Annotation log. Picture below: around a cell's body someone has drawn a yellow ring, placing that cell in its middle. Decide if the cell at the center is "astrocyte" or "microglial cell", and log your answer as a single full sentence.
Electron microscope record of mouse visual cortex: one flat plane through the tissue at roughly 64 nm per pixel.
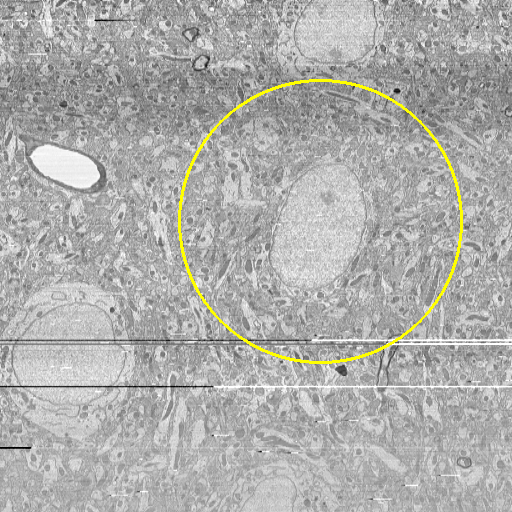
My entry records an astrocyte as the cell sitting at the center of the yellow ring.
